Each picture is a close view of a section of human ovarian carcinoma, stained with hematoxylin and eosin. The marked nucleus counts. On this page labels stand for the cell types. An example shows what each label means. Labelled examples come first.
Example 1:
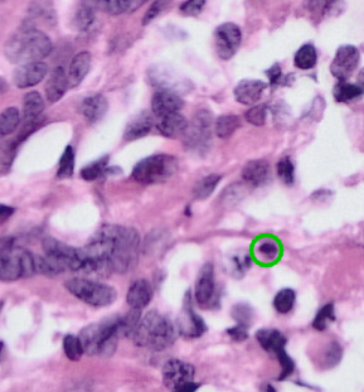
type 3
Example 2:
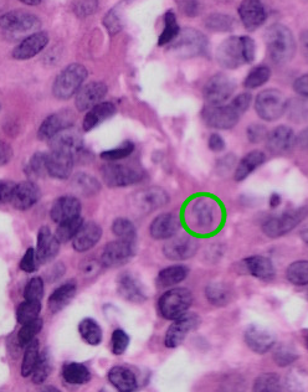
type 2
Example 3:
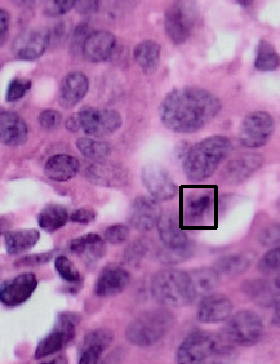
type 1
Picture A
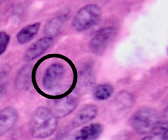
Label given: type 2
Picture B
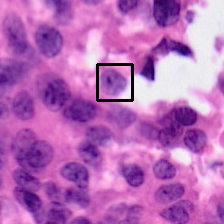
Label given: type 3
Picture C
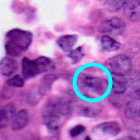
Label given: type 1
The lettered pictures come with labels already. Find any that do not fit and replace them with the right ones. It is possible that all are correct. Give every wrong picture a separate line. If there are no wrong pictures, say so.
Wrong: A (type 2); correct: type 3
